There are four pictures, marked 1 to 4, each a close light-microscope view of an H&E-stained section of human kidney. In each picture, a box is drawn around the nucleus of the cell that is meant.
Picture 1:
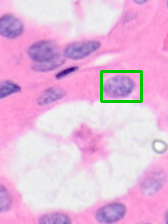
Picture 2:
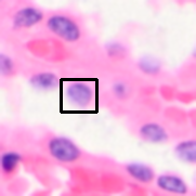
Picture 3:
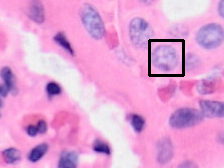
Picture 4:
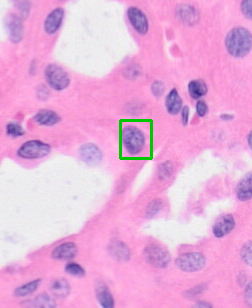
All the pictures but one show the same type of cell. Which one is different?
3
